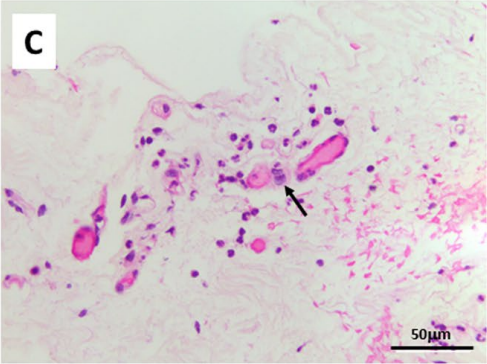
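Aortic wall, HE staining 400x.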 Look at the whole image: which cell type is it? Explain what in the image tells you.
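Many small cells with dark round nuclei are scattered in loose pale tissue.
Conclusion: Inflammatory cells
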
